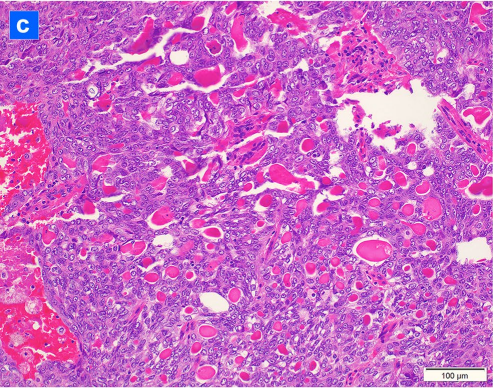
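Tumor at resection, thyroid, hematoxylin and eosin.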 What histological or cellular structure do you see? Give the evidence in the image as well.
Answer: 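Many round, homogeneous bright pink globules lie among the cells. The globules vary in size and sit between sheets of tumor cells.
Answer: colloid globules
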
